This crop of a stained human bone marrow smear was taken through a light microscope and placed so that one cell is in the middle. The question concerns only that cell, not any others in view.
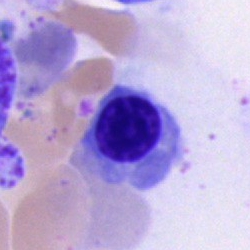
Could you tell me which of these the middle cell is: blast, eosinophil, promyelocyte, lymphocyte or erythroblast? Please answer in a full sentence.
Framed in the middle of the crop is an erythroblast.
